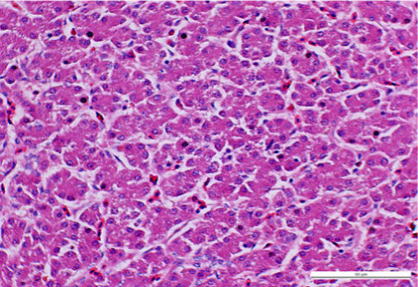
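Liver with hepatocytes arranged in anastomosing cords separated by narrow sinusoids. The hepatocytes are polygonal with evenly pink cytoplasm and round, centrally placed nuclei. Sinusoids are slender and pale, with occasional red blood cells and flattened lining cells. The architecture looks orderly without obvious vacuolation.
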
